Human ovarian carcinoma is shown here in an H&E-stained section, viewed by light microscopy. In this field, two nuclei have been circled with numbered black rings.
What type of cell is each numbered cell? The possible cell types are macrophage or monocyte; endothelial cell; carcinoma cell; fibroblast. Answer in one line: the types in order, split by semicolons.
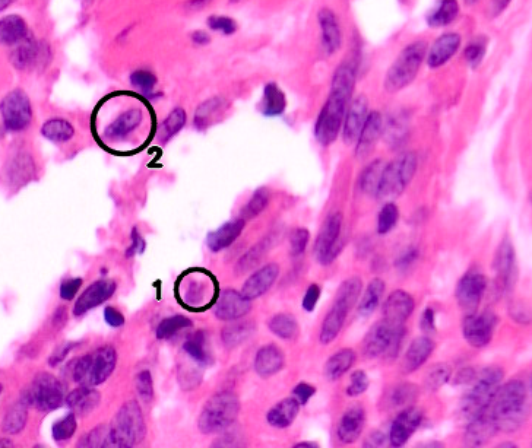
carcinoma cell; macrophage or monocyte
